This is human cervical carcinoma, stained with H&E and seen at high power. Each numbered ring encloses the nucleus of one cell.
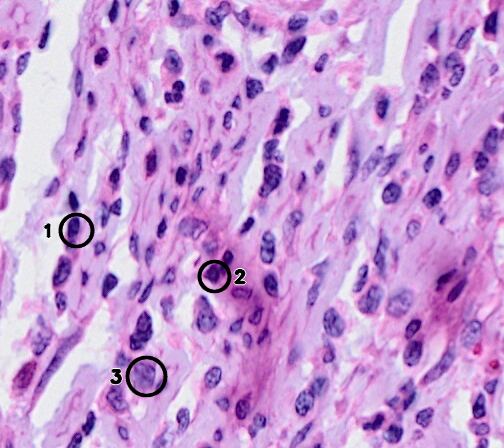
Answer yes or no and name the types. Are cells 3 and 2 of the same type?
No, listen: cell 3 is a macrophage or monocyte and cell 2 is a lymphocyte.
